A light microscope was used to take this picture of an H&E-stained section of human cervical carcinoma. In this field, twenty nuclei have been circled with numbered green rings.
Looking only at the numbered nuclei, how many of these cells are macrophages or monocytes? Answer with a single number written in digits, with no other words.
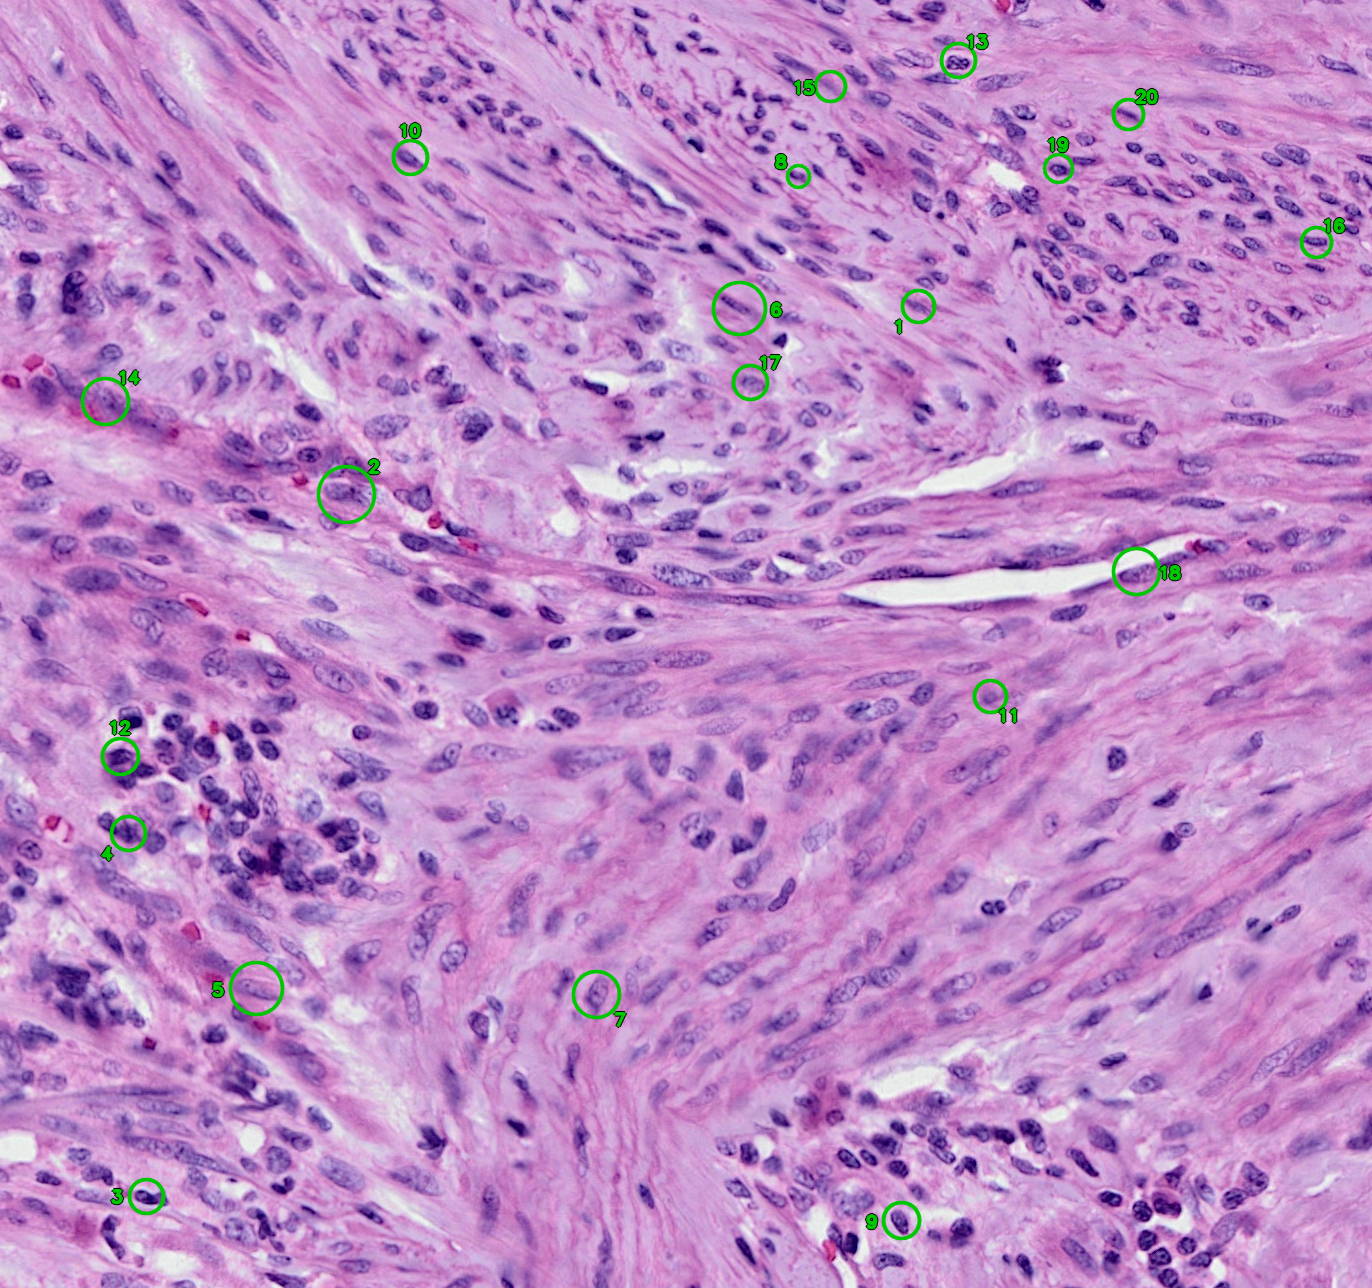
0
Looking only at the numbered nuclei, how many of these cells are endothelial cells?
4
